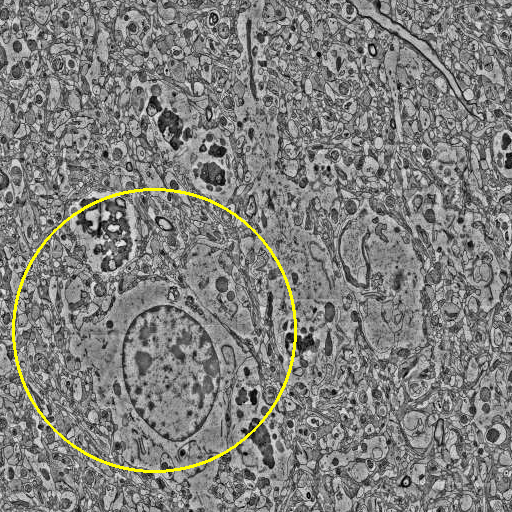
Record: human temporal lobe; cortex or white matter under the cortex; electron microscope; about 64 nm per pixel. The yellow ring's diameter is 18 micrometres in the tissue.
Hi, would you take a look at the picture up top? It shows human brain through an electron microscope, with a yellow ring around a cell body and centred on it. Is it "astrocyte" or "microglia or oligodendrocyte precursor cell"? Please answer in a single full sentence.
The best fit for the cell in the middle of the ring is an astrocyte, I reckon.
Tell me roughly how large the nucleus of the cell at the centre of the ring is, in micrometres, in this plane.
About 9 by 6 micrometers for the nucleus, in this plane.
